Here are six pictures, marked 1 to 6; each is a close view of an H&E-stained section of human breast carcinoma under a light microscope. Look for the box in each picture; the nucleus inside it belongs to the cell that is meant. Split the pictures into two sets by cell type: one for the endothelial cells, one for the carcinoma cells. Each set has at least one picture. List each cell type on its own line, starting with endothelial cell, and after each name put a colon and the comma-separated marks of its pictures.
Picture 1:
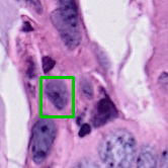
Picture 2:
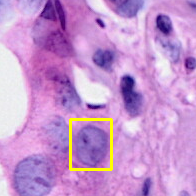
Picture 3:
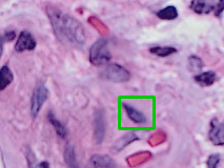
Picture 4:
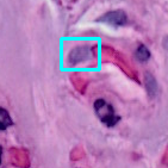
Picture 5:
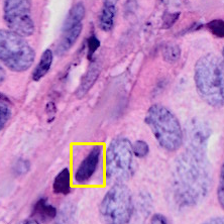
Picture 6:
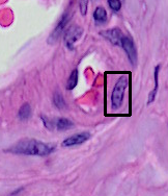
endothelial cell: 3, 4, 6
carcinoma cell: 1, 2, 5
